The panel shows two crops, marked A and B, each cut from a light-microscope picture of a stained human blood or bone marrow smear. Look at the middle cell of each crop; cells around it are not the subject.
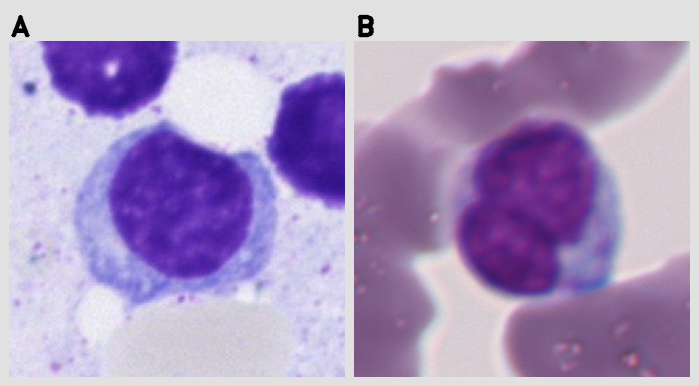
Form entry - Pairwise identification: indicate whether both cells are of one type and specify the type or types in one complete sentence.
Yes, the two cells in the two crops are lymphocytes.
